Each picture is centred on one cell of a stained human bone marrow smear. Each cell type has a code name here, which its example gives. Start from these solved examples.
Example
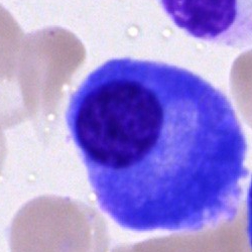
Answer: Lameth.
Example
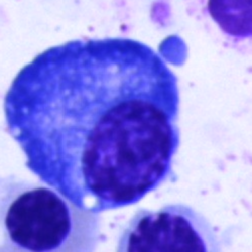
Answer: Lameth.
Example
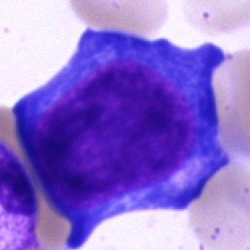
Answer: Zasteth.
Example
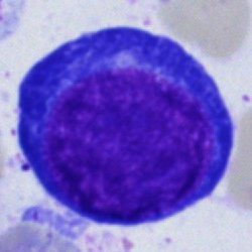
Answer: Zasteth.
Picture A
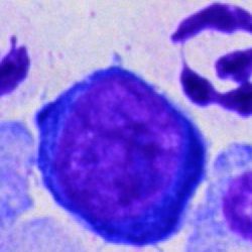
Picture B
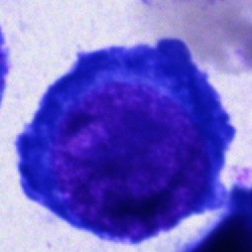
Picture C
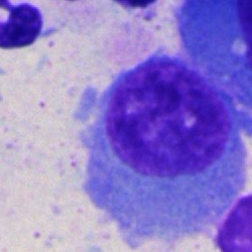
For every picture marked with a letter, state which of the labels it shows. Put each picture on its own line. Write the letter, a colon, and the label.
A: Zasteth.
B: Zasteth.
C: Lameth.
